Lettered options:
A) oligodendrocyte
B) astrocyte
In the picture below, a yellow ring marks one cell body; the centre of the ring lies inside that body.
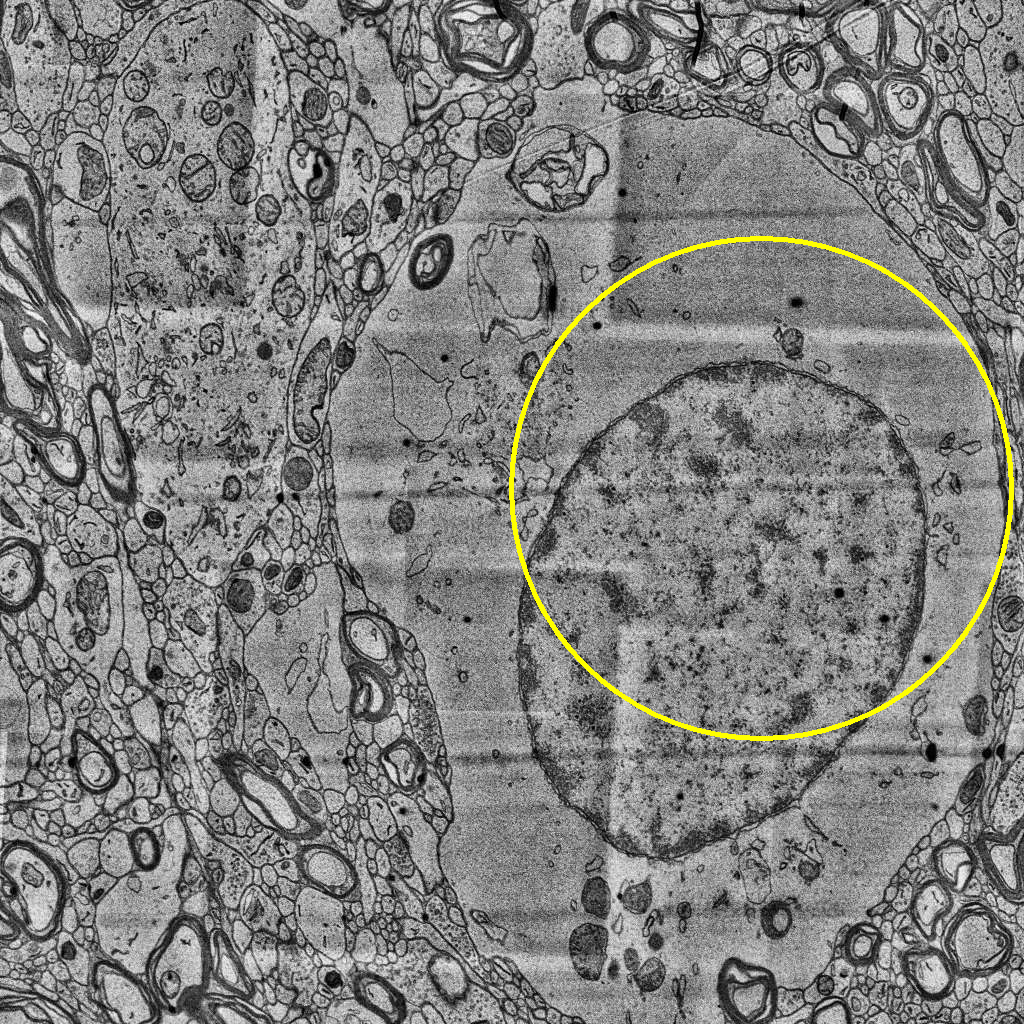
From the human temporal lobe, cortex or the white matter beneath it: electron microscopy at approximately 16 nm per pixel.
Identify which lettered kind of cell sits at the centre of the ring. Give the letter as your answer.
B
